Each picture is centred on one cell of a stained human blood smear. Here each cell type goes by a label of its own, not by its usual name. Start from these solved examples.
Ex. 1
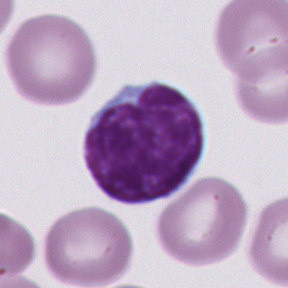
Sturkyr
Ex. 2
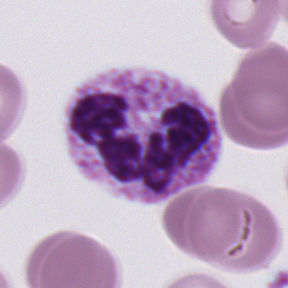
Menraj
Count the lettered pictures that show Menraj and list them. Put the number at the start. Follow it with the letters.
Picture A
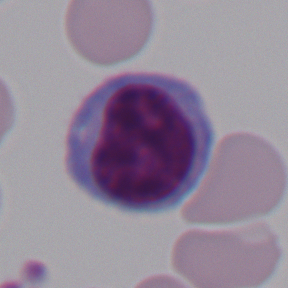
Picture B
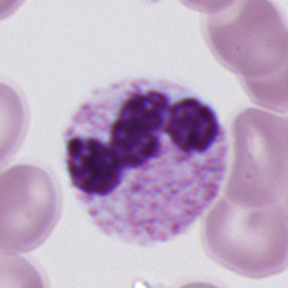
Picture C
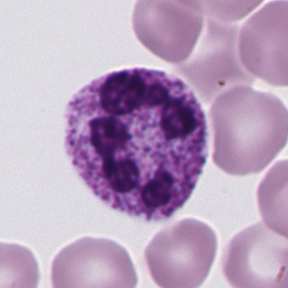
2, namely B, C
